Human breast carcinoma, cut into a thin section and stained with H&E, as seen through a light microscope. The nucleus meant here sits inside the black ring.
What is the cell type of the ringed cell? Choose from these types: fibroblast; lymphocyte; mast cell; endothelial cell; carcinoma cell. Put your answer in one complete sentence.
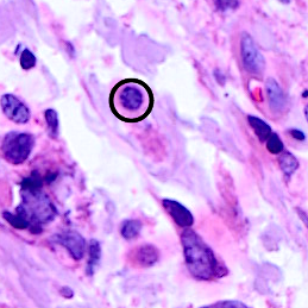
Just put down that the ringed cell is a mast cell.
